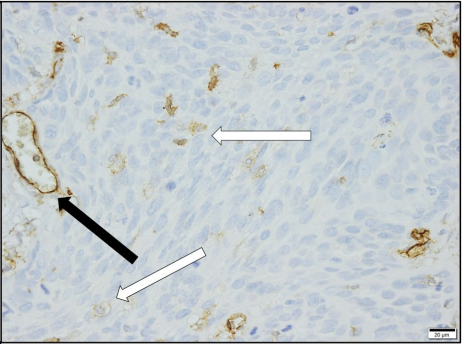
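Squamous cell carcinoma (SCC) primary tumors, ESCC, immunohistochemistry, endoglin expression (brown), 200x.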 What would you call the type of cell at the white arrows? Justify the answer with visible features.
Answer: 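The white arrows point to small brown foci lying among densely packed tumor cells. The surrounding cells form a solid sheet with oval blue nuclei, not a vessel.
Conclusion: epithelial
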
